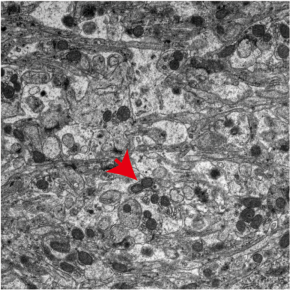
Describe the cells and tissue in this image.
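This is brain neuropil at low magnification, with many mitochondria visible as small dark round to oval bodies. They lie scattered inside densely packed neural processes, some cut lengthwise as long bands and others in cross-section. The marked mitochondrion is a compact, dark profile within one of these processes.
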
